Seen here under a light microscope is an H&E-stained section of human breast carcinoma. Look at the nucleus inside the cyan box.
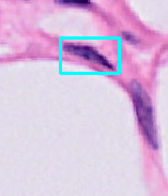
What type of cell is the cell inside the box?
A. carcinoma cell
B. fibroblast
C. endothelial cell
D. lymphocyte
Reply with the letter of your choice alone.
C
